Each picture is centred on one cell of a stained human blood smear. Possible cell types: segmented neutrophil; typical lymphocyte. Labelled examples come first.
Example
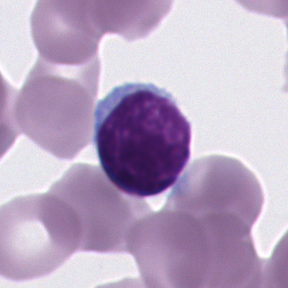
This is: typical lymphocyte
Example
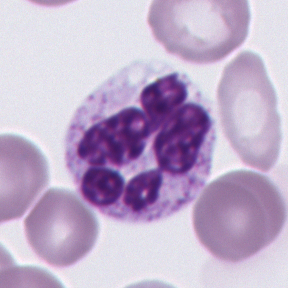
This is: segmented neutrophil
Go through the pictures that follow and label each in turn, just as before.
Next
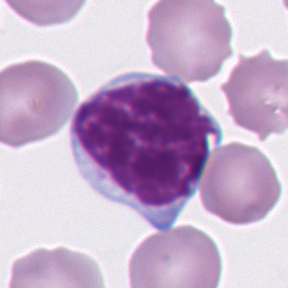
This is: typical lymphocyte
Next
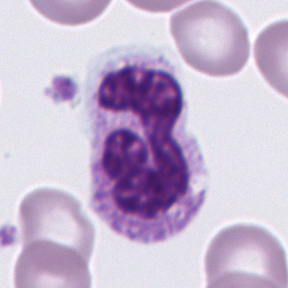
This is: segmented neutrophil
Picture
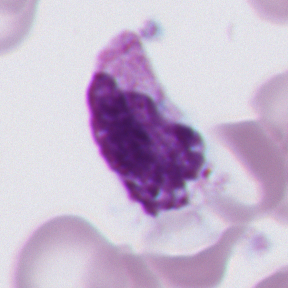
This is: segmented neutrophil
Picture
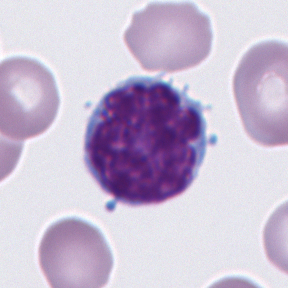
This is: typical lymphocyte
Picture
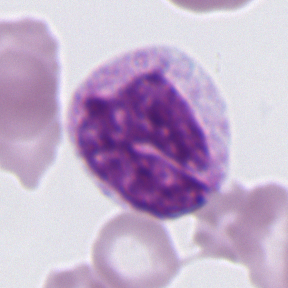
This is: segmented neutrophil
